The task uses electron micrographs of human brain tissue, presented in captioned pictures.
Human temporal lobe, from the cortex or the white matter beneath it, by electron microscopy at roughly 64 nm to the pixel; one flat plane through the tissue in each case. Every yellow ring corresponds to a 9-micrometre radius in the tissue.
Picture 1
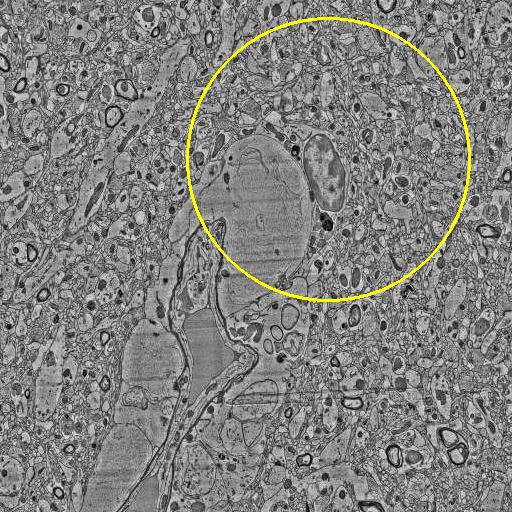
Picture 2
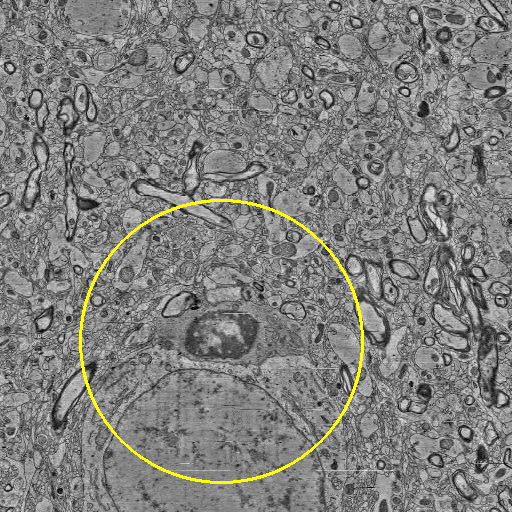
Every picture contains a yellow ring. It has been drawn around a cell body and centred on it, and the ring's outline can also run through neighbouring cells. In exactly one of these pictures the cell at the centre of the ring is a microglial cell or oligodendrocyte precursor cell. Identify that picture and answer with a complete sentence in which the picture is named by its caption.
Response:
The ring in Picture 1 is centred on that kind of cell.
